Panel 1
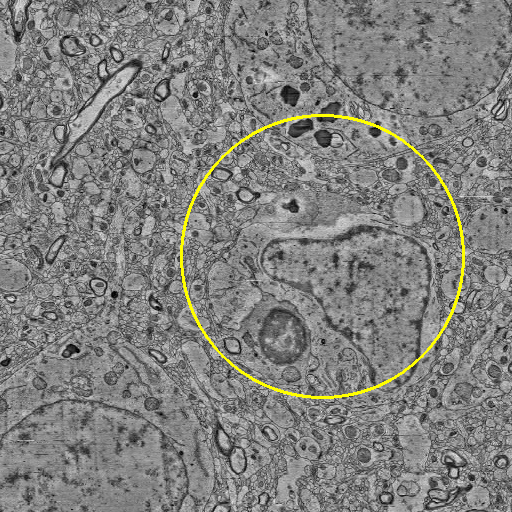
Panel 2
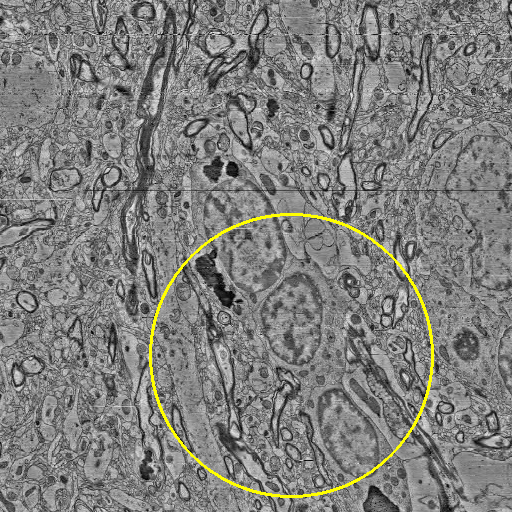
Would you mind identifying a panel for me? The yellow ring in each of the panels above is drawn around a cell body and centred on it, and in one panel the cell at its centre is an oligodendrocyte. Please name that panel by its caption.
Panel 2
